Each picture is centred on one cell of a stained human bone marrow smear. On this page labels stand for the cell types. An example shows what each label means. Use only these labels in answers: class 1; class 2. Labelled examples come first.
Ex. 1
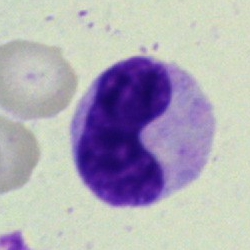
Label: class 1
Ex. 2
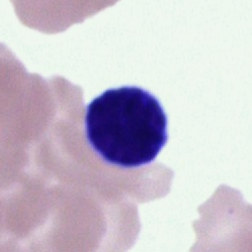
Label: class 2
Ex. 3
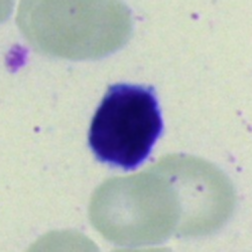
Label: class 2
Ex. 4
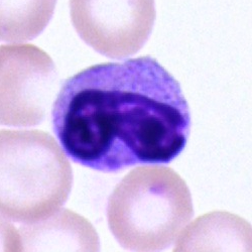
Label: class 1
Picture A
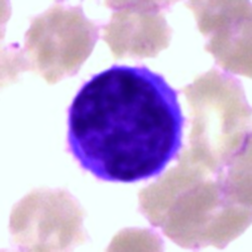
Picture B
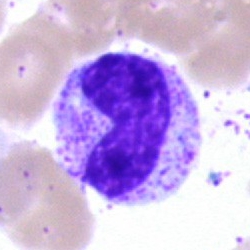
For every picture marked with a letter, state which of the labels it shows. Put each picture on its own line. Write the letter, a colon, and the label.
A: class 2
B: class 1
